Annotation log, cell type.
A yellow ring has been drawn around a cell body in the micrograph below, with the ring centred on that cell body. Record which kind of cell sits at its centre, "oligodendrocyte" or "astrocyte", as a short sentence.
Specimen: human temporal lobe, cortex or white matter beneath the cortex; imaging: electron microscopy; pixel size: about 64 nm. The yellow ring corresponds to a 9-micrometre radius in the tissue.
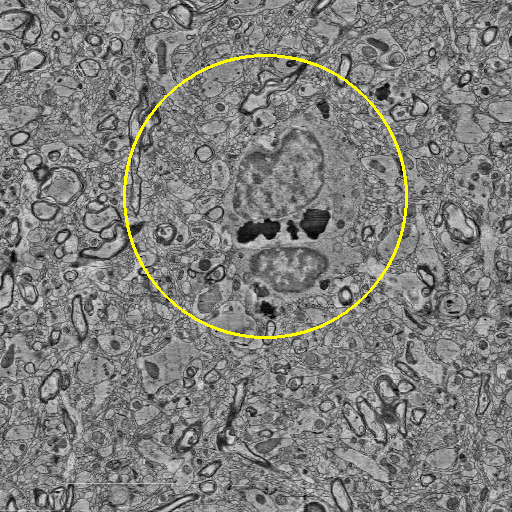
The cell at the centre of this ring is an oligodendrocyte.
